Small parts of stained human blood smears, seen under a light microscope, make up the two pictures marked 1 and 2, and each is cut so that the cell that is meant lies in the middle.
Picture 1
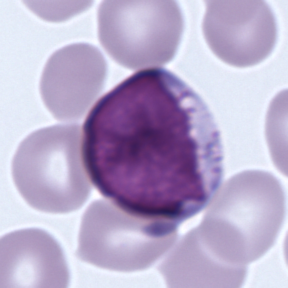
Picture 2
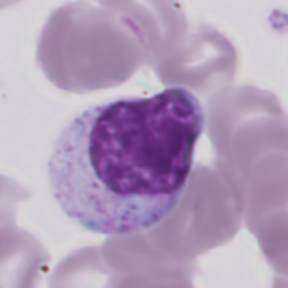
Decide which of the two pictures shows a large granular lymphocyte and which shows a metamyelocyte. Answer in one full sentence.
Picture 2 shows a metamyelocyte, while picture 1 shows a large granular lymphocyte.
